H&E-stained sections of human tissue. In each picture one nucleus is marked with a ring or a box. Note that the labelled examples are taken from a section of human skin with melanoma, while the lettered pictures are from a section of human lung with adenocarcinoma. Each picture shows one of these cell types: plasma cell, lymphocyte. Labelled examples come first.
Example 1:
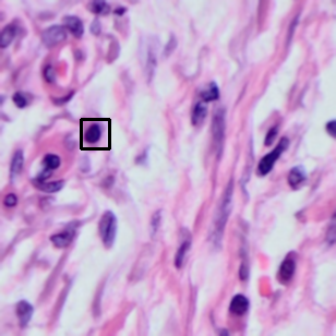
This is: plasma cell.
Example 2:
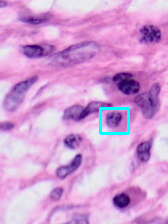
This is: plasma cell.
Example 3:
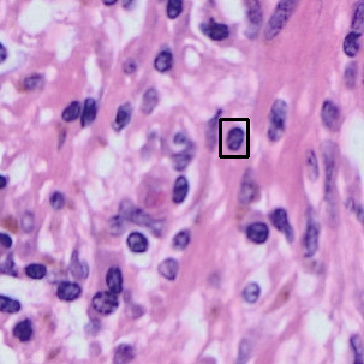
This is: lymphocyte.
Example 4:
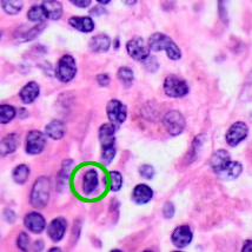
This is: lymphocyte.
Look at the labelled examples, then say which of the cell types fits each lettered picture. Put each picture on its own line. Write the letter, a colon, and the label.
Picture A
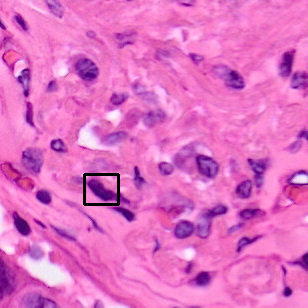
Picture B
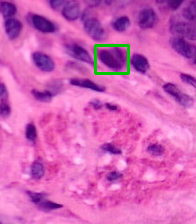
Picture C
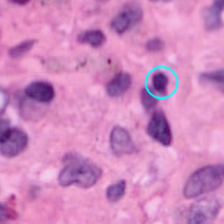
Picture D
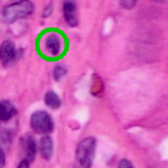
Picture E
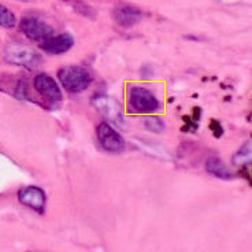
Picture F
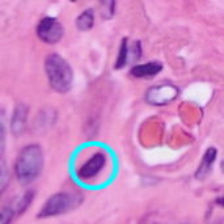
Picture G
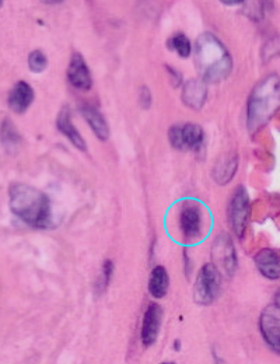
A: plasma cell.
B: plasma cell.
C: lymphocyte.
D: lymphocyte.
E: plasma cell.
F: plasma cell.
G: plasma cell.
